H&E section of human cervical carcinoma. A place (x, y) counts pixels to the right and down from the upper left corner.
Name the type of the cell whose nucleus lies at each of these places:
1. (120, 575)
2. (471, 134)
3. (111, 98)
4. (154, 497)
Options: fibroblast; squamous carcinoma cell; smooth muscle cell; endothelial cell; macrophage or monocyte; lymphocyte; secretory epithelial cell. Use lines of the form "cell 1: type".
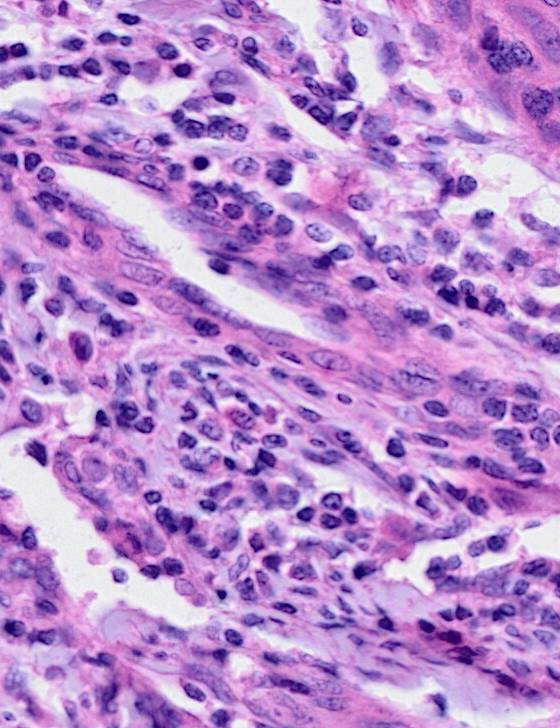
cell 1: lymphocyte
cell 2: fibroblast
cell 3: lymphocyte
cell 4: lymphocyte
